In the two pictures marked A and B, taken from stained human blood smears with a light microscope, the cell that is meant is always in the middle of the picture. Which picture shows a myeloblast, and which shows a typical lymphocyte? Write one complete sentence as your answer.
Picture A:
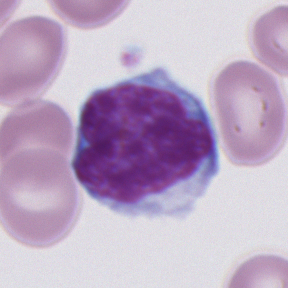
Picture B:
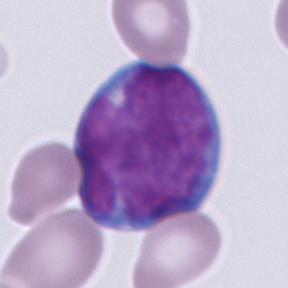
Picture B shows a myeloblast, while picture A shows a typical lymphocyte.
